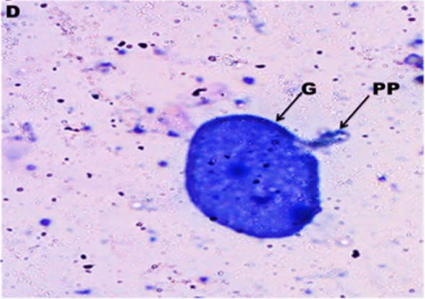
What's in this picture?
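A large granulocyte fills the centre of the field, stained an intense dark blue. Its outline is broad and somewhat irregular, with one edge flattened. The cytoplasm looks finely granular and mottled, with a few darker spots that may mark the nucleus. From the upper right margin a thin, short extension of the cell, a pseudopodium, projects outward. Small dark particles and debris are scattered through the background around the cell.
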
